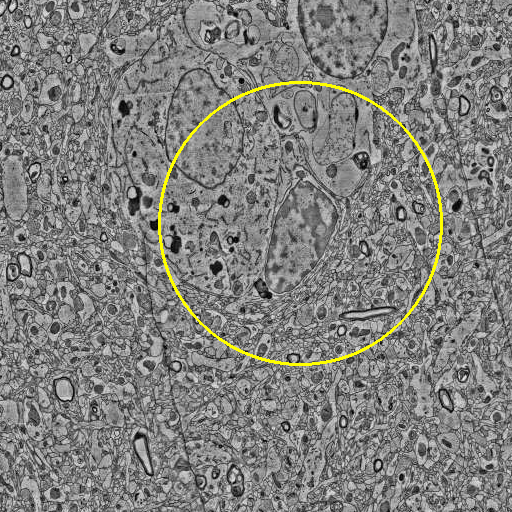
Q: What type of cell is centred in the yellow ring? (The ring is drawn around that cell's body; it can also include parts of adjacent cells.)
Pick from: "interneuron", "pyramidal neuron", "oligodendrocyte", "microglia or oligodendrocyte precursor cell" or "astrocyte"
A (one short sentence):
The yellow ring is centred on a microglial cell or oligodendrocyte precursor cell.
